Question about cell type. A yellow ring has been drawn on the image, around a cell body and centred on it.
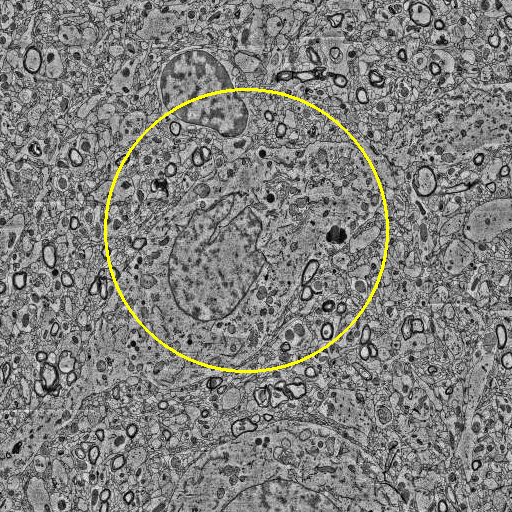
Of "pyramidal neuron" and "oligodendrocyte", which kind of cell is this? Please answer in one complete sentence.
At the centre of the ring lies a pyramidal neuron.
